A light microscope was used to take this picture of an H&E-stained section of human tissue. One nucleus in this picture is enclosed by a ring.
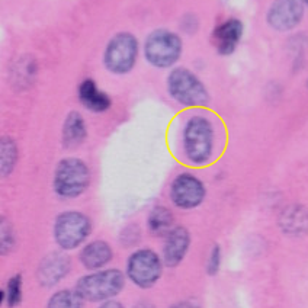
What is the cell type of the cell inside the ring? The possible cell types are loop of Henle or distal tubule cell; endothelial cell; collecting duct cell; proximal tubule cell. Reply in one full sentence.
The cell inside the ring appears to be a collecting duct cell.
